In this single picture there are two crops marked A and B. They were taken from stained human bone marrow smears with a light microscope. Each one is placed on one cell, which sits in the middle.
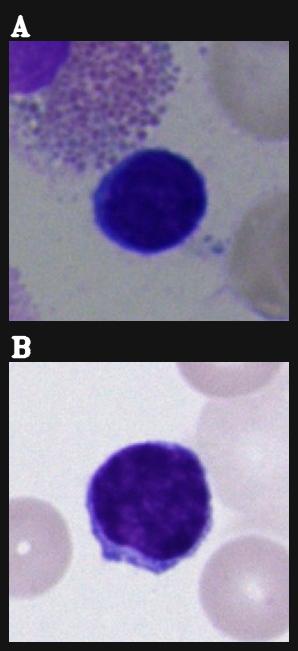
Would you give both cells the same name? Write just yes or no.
yes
